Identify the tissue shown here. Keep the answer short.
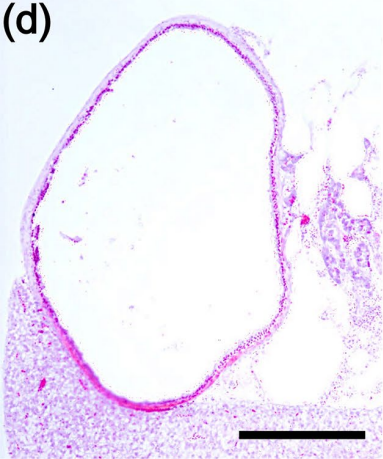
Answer: Gallbladder.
